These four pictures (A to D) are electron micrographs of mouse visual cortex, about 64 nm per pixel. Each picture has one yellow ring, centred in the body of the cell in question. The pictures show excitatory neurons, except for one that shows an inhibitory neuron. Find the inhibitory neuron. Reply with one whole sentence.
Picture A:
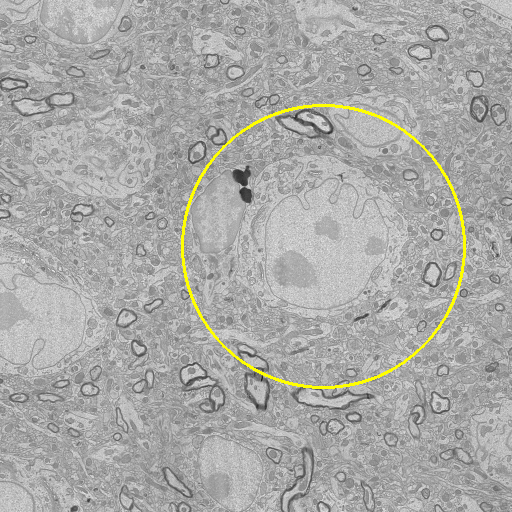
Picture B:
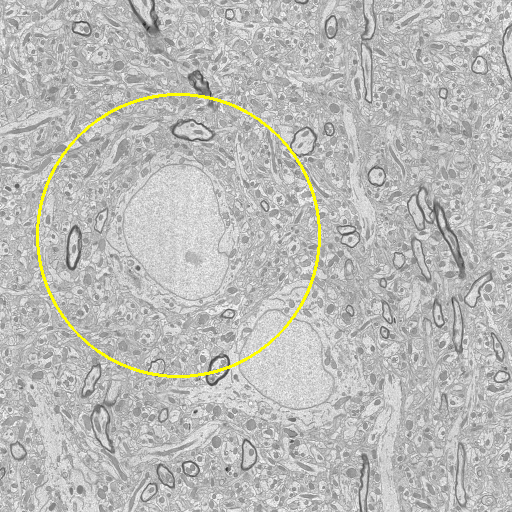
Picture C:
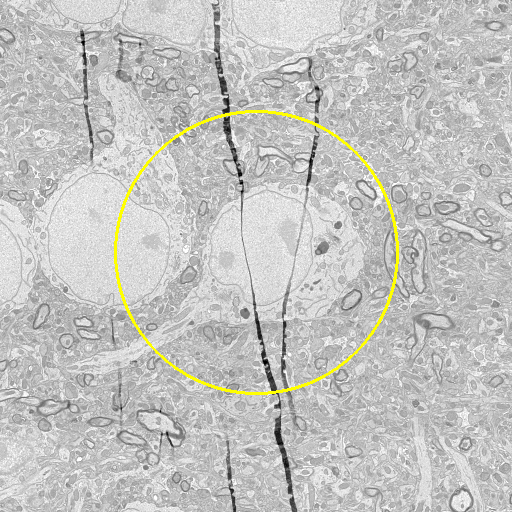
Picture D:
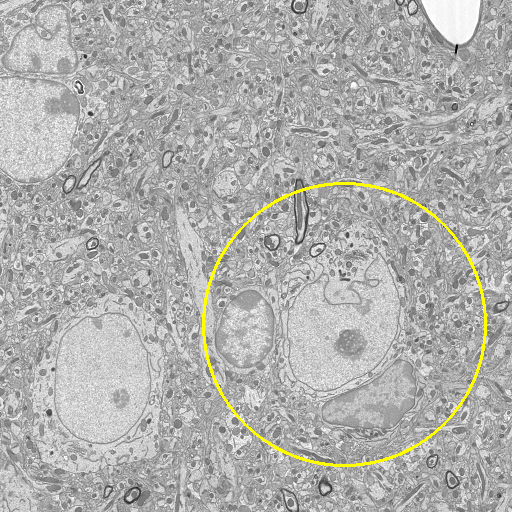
Picture D is the one that shows the inhibitory neuron.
